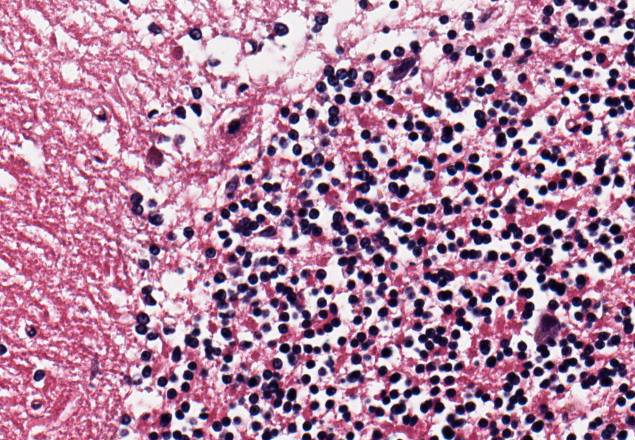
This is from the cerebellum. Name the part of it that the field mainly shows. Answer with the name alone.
granular layer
